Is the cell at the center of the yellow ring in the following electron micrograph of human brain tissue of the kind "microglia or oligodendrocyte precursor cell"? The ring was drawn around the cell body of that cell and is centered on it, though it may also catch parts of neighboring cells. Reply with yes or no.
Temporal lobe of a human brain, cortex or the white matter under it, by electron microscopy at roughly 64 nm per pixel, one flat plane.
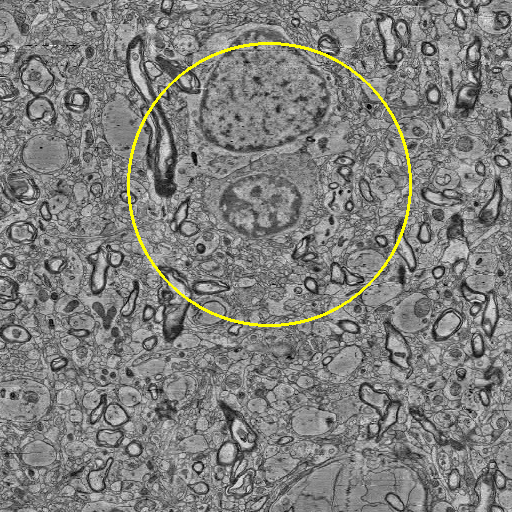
No, it is of another kind.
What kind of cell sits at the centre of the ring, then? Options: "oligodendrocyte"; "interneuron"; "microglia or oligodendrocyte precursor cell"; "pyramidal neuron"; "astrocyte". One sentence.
Instead, the cell at the centre of the ring is an oligodendrocyte.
